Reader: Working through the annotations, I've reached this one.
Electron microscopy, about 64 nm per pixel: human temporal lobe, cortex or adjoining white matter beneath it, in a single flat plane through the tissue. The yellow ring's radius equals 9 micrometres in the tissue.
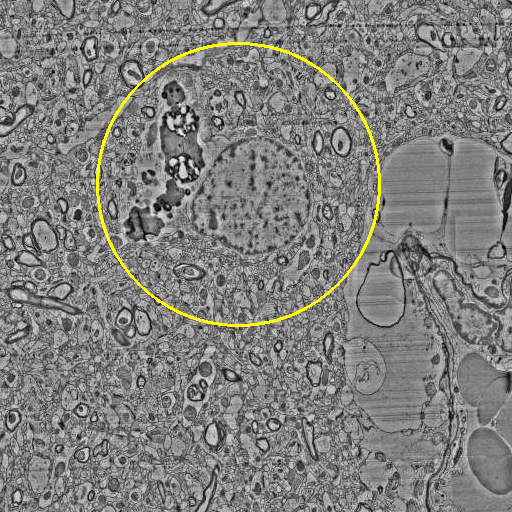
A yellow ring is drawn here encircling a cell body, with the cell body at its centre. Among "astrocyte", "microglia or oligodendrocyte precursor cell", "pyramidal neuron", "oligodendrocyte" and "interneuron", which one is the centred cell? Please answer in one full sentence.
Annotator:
The cell body at the centre of the yellow ring in this image belongs to an astrocyte.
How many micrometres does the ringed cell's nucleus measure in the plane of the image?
In this plane, the nucleus measures approximately 7 micrometres across.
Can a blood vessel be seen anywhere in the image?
Yes, there is a blood vessel.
